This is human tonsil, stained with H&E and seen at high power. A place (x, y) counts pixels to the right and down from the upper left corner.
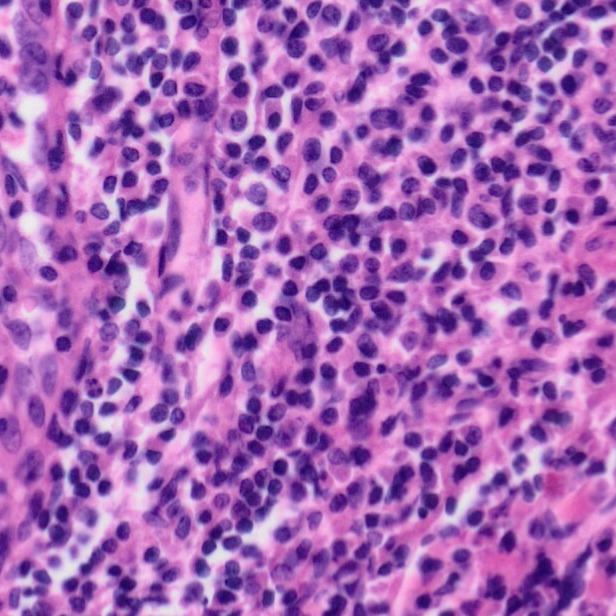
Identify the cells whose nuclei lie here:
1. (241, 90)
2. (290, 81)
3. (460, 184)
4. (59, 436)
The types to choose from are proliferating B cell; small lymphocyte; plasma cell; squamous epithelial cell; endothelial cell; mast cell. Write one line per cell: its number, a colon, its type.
1: plasma cell
2: plasma cell
3: small lymphocyte
4: endothelial cell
